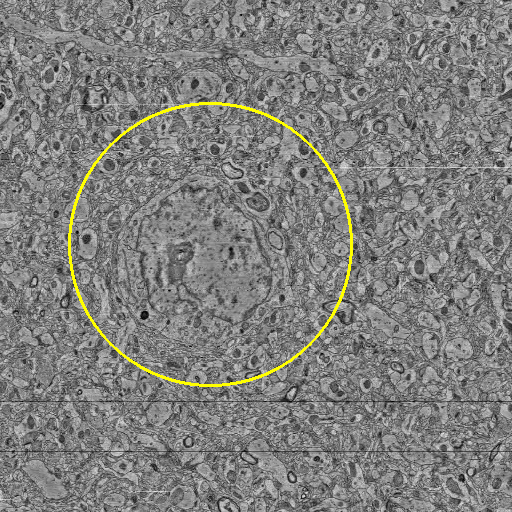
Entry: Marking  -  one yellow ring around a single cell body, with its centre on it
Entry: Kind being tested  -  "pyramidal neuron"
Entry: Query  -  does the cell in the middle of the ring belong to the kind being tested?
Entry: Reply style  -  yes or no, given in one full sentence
No, the centred cell within the ring in the picture belongs to a different kind.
